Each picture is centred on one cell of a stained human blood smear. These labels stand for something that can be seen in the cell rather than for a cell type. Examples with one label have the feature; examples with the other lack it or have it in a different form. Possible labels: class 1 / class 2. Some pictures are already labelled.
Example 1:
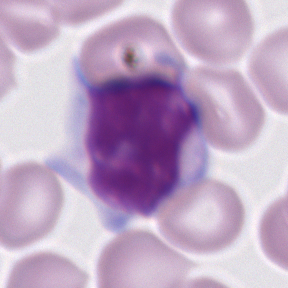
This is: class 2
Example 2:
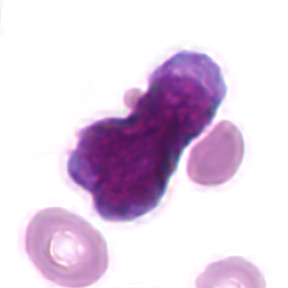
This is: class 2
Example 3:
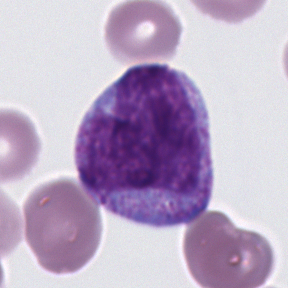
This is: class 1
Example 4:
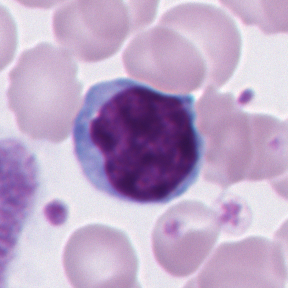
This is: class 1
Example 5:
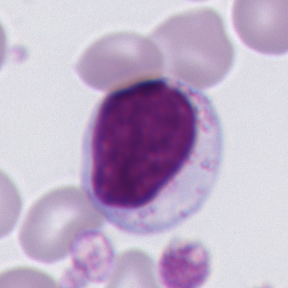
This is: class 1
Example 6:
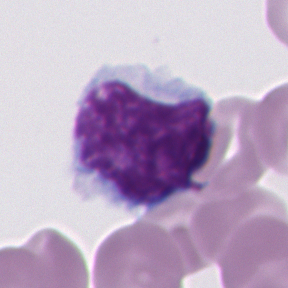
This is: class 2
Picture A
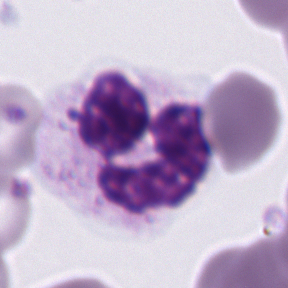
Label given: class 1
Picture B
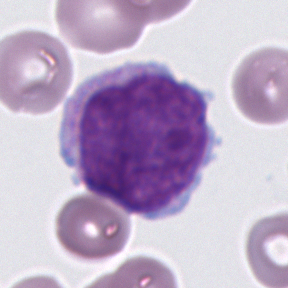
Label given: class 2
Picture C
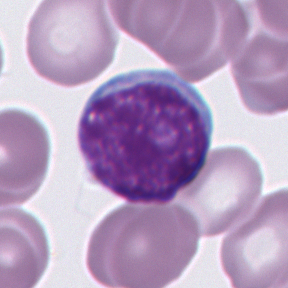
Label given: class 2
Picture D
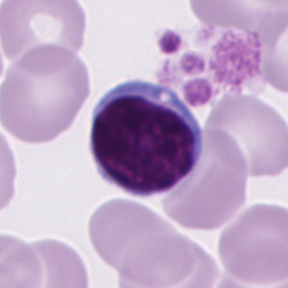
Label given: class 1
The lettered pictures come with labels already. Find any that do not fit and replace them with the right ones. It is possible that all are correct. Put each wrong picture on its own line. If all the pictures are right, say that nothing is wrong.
Wrong: C (class 2); correct: class 1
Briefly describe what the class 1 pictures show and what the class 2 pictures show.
Seen in class 1: smooth outline; seen in class 2: ragged outline or projections.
